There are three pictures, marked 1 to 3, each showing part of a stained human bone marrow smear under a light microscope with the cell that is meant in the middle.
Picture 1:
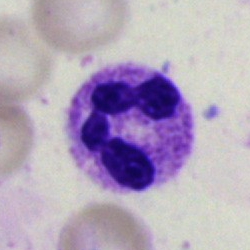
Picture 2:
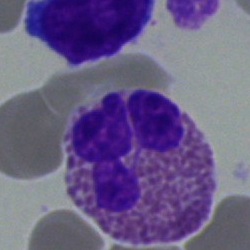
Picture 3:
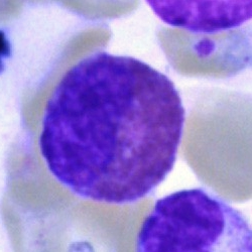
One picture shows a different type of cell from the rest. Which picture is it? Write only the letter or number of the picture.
1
